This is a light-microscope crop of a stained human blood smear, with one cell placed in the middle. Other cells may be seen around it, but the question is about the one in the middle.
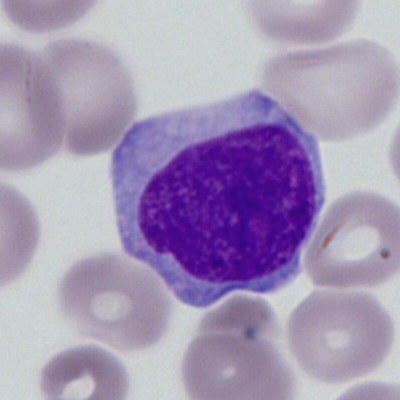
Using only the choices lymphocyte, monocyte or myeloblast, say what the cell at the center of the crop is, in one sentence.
The cell at the middle of the frame should be recorded as a myeloblast.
